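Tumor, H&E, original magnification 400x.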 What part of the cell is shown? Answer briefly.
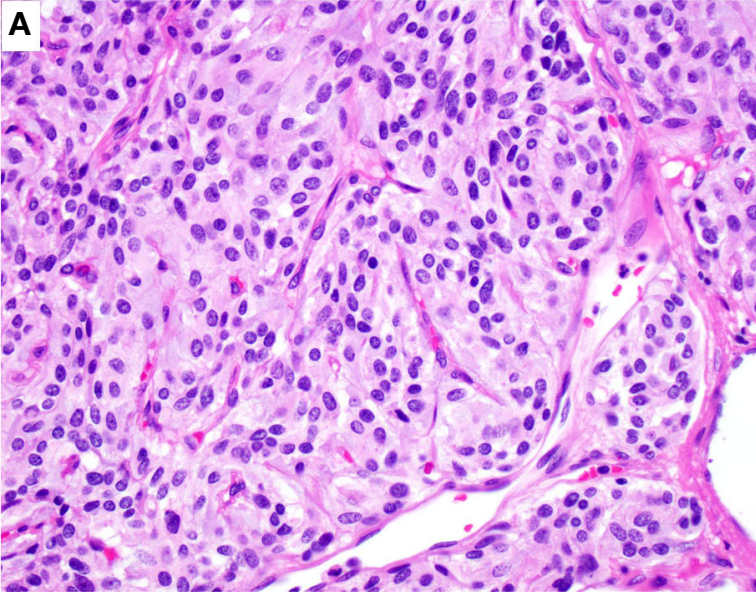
Finely granular (“salt and pepper”) chromatin.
